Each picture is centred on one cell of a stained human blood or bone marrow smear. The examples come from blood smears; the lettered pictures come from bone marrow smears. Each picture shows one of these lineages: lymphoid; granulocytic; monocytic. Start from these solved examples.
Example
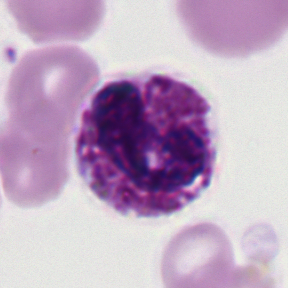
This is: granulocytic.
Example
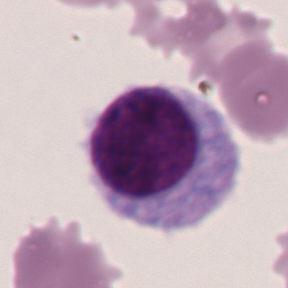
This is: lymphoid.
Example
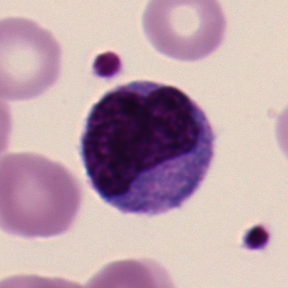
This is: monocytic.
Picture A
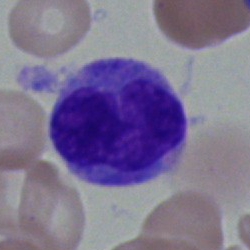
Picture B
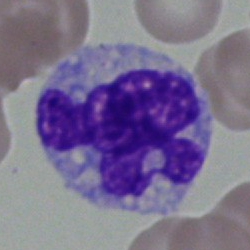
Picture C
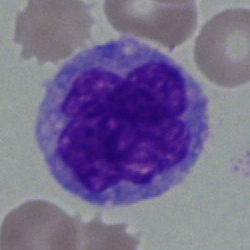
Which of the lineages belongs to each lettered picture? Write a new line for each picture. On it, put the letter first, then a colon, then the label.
A: monocytic.
B: monocytic.
C: monocytic.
